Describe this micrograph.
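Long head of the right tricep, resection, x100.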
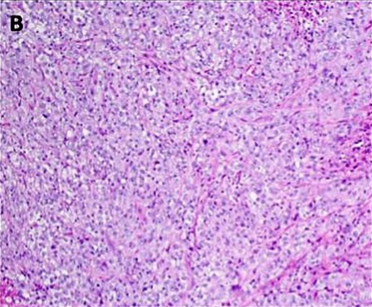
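At low power, this field of muscle tissue is largely replaced by crowded sheets of neoplastic cells. The tumour cells are packed closely, with purple nuclei and pale pink to clear cytoplasm, some areas appearing paler and vacuolated. Thin pink fibrous strands course between groups of tumour cells. The tumour cells spread in a diffuse, infiltrative pattern rather than forming a sharply bordered mass.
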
